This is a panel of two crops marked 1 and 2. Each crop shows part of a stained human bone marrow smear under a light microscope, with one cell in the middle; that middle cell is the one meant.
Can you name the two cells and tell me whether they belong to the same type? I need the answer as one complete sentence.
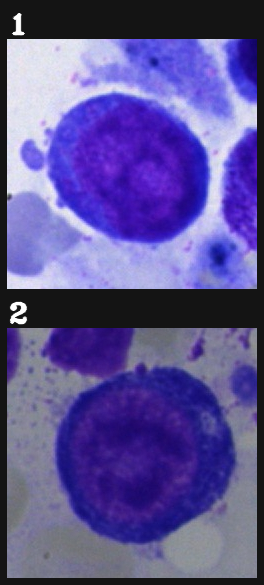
Yes, proerythroblasts are present at the centre of both crops.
